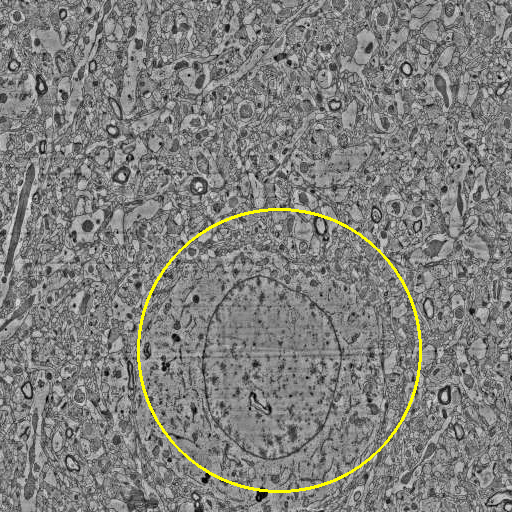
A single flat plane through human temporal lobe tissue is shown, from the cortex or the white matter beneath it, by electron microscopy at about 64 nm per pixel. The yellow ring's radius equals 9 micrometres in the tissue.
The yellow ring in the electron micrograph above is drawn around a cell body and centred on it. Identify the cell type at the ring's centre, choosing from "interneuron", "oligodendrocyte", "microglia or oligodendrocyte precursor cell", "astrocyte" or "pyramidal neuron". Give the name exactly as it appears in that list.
pyramidal neuron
